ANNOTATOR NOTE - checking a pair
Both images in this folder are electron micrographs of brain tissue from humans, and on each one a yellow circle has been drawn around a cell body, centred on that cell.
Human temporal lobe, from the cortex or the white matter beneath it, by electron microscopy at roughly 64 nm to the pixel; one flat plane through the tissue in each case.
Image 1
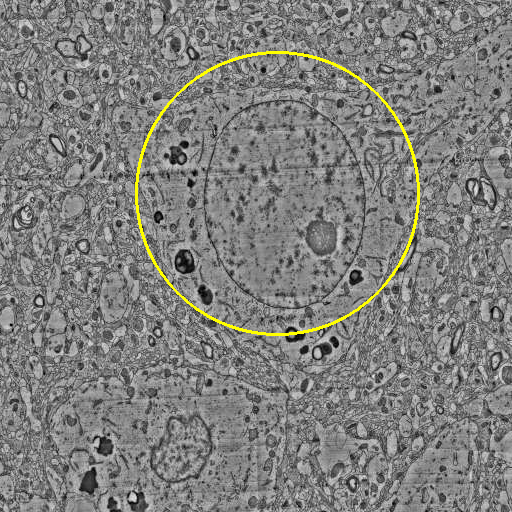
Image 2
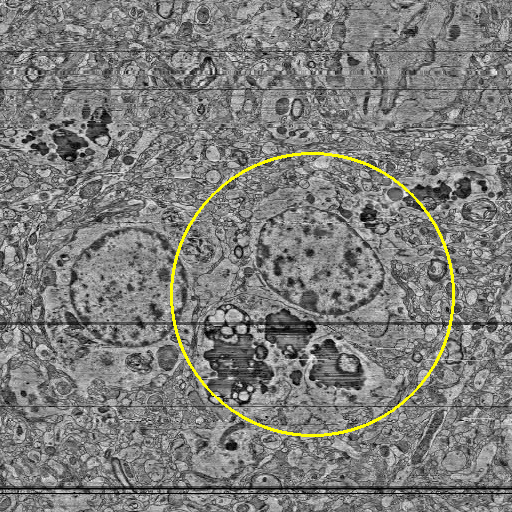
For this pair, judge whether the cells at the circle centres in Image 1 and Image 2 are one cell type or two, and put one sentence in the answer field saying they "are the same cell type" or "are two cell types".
For this pair, the cells at the circle centres in Images 1 and 2 are two cell types.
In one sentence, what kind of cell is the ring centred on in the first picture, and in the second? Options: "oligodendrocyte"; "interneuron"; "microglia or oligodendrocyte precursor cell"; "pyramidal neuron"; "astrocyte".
The cell at the centre of the second ring is an astrocyte; the first ring's cell is a pyramidal neuron.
